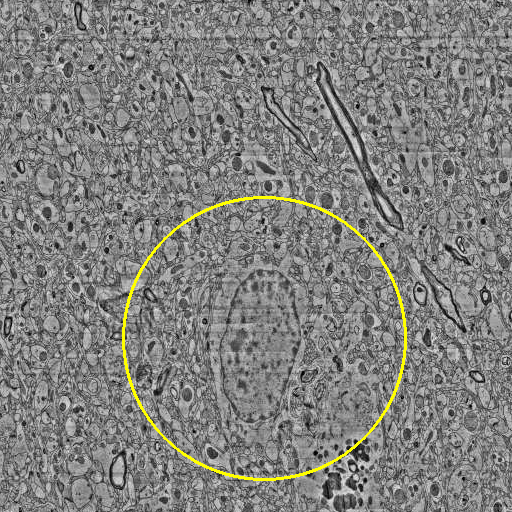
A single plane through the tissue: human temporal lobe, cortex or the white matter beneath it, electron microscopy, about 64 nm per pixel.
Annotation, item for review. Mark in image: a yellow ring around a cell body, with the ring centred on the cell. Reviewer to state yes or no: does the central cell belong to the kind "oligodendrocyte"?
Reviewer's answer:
no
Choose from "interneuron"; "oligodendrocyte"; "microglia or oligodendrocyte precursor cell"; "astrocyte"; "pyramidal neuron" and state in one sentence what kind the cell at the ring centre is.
What the ring is centred on is an astrocyte.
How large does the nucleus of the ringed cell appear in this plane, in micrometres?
The nucleus is approximately 10 micrometres long but only about 5 wide, clearly longer than it is wide in this plane.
